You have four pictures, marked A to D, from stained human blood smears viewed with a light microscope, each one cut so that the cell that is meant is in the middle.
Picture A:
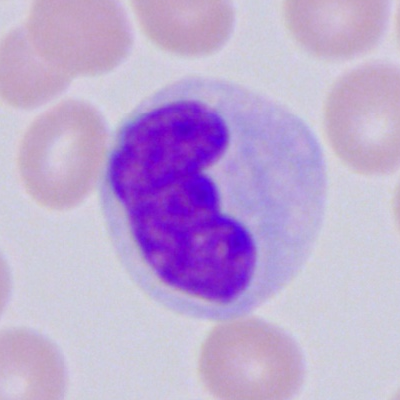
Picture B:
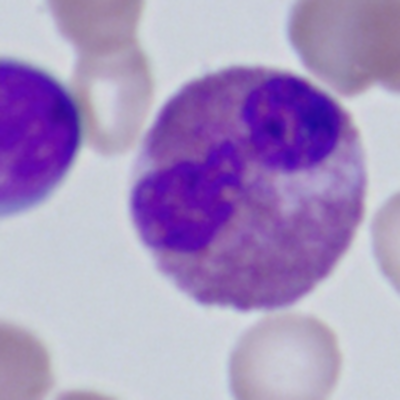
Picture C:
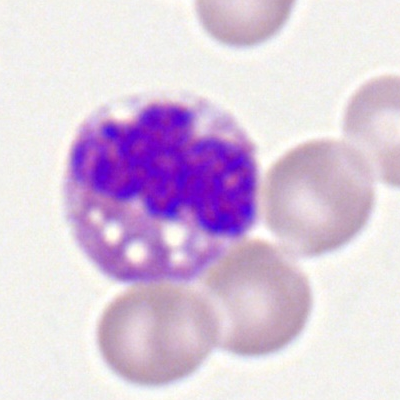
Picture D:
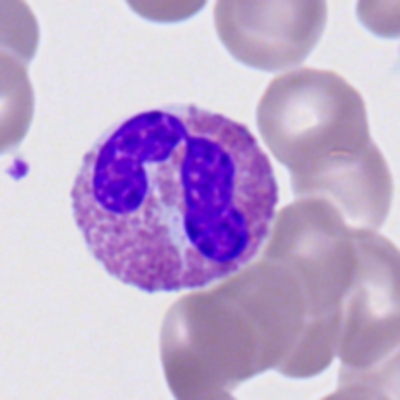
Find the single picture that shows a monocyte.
A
